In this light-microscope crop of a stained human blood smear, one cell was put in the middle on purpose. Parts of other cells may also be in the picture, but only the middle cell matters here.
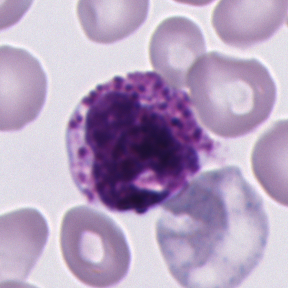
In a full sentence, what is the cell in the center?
The cell in the exact centre of the crop is a basophil.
